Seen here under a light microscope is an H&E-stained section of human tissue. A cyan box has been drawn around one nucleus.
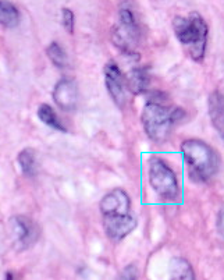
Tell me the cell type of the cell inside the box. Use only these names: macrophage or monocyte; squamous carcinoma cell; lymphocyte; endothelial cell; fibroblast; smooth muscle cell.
endothelial cell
